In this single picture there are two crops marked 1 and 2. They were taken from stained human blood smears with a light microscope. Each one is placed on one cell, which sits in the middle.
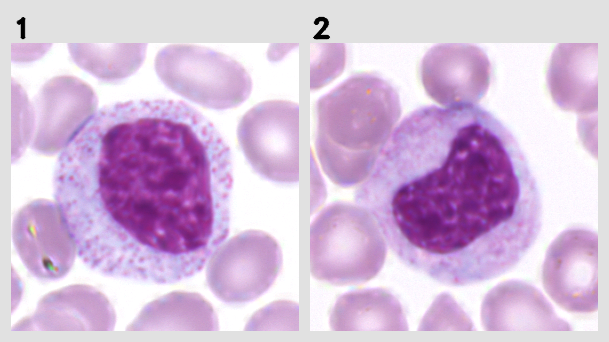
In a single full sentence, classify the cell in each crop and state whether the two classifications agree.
Yes, in both crops, metamyelocytes are the cells at the middle.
